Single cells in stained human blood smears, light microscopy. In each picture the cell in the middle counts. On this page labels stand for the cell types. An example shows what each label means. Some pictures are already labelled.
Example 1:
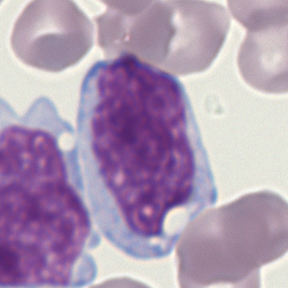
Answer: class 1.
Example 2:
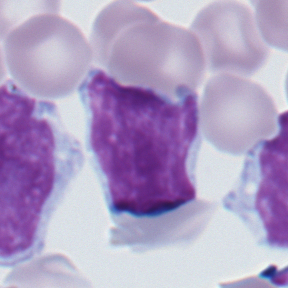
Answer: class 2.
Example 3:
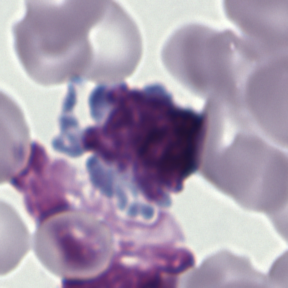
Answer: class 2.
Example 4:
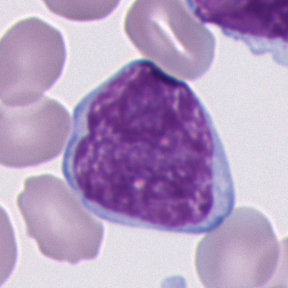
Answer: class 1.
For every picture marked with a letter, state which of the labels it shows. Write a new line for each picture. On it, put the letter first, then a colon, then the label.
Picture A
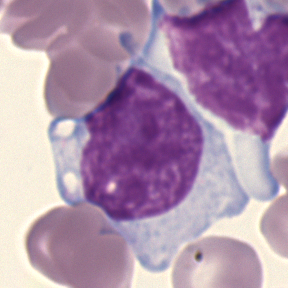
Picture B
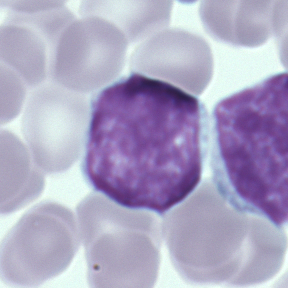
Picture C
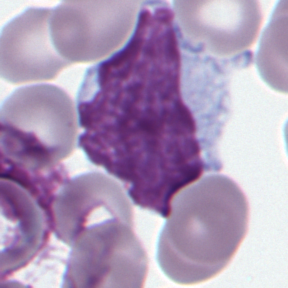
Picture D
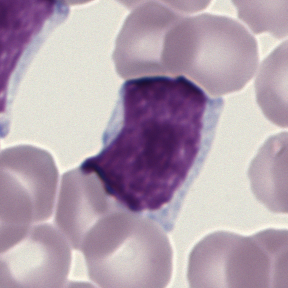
A: class 1.
B: class 2.
C: class 2.
D: class 2.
